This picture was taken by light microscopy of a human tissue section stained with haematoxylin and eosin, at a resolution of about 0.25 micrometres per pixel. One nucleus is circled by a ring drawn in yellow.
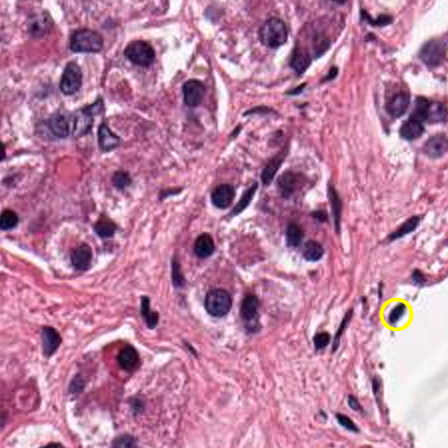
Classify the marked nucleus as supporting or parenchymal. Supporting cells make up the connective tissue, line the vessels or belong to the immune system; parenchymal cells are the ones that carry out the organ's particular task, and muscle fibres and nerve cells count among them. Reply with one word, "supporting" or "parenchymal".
supporting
